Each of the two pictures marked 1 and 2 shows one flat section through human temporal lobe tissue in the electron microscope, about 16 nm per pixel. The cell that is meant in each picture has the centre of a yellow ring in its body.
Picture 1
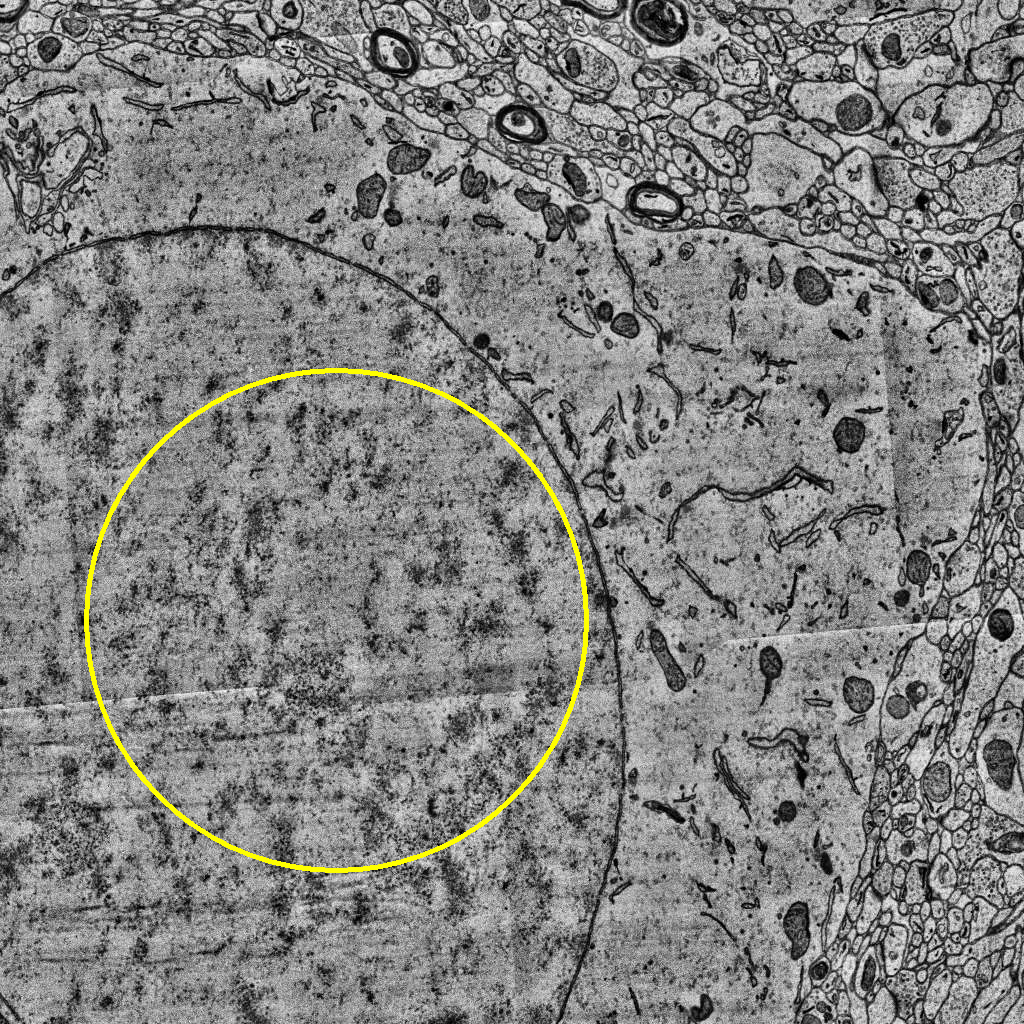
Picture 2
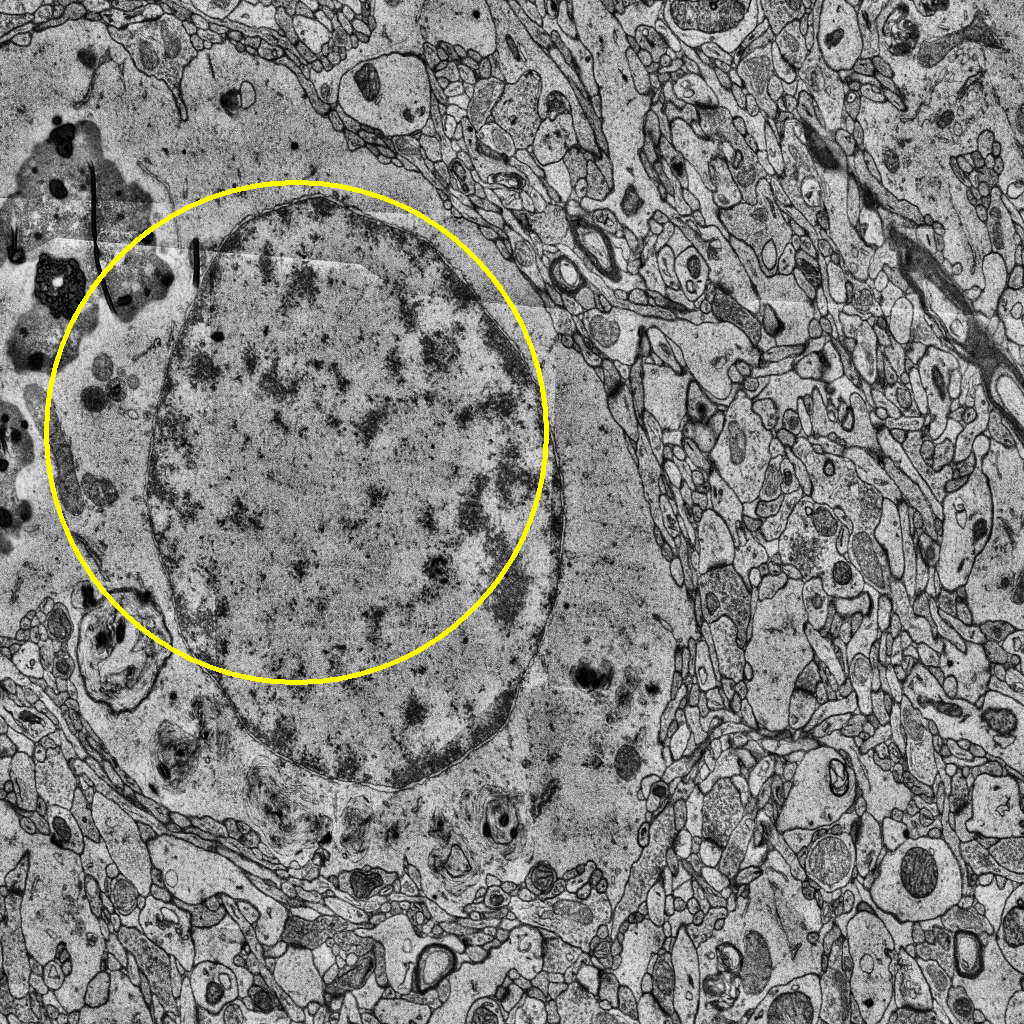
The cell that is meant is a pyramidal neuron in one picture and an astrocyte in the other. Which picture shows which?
Picture 1 is of a pyramidal neuron, and picture 2 is of an astrocyte.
